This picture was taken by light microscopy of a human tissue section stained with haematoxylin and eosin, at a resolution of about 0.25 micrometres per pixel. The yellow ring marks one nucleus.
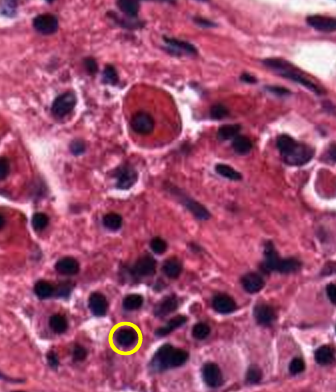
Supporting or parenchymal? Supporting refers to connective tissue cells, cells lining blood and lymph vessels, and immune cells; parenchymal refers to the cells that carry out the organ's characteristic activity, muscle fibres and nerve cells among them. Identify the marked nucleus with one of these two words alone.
parenchymal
